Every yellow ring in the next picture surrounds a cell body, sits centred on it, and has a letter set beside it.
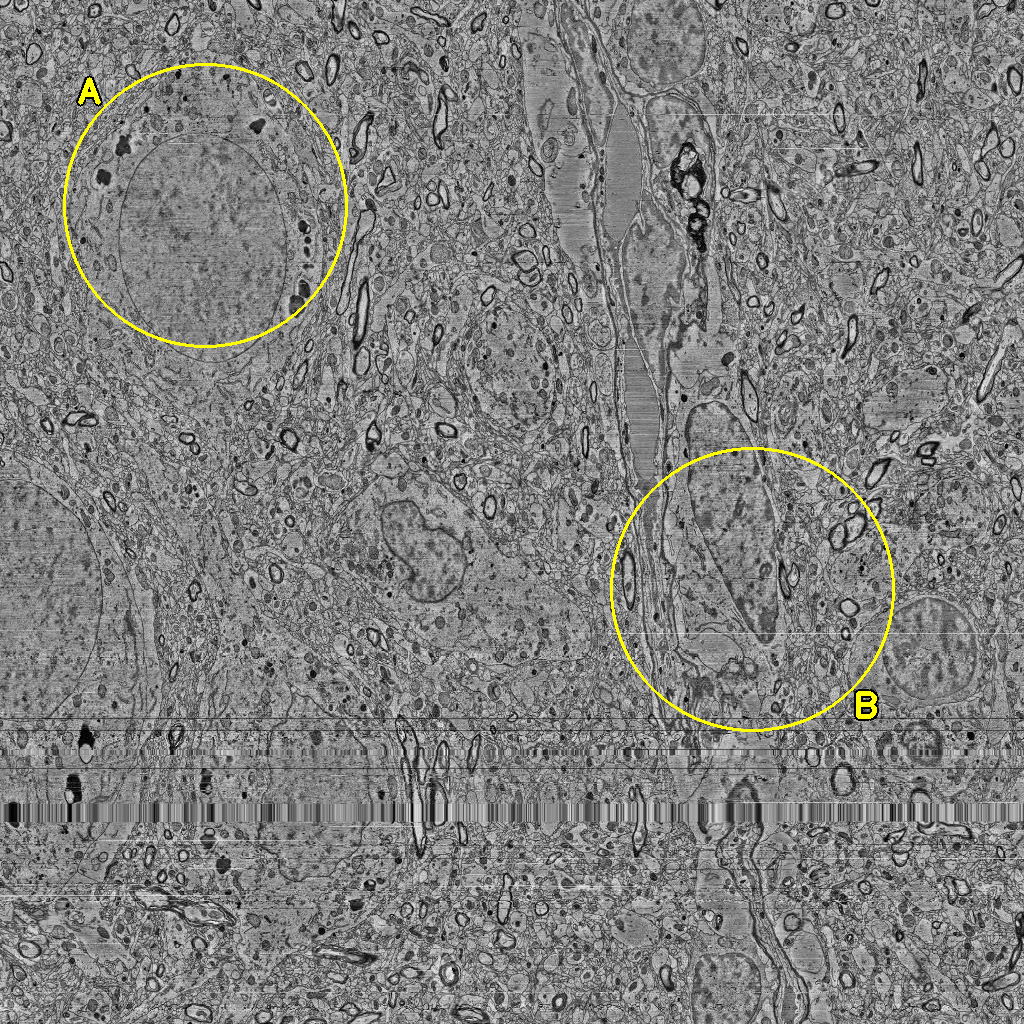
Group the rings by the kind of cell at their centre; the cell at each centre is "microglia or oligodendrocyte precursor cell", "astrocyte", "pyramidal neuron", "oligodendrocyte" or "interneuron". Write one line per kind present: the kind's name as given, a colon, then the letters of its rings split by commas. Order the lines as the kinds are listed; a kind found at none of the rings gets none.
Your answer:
microglia or oligodendrocyte precursor cell: B
pyramidal neuron: A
